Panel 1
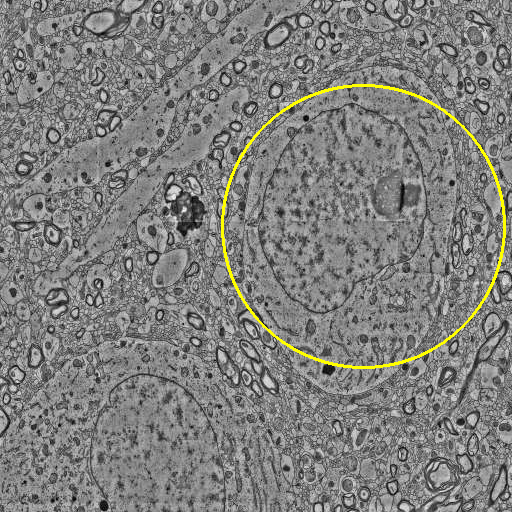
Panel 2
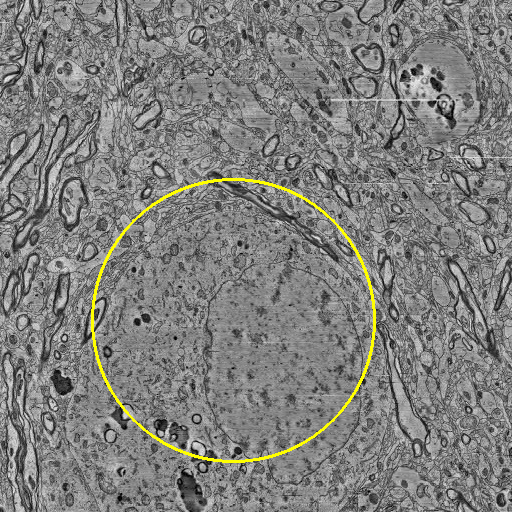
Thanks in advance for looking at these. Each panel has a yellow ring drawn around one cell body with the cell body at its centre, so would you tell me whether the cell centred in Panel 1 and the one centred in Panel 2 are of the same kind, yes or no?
yes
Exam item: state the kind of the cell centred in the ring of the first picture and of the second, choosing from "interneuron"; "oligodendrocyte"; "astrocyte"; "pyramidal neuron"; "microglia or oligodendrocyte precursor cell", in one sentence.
The cell in the first picture is a pyramidal neuron, and so is the one in the second.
